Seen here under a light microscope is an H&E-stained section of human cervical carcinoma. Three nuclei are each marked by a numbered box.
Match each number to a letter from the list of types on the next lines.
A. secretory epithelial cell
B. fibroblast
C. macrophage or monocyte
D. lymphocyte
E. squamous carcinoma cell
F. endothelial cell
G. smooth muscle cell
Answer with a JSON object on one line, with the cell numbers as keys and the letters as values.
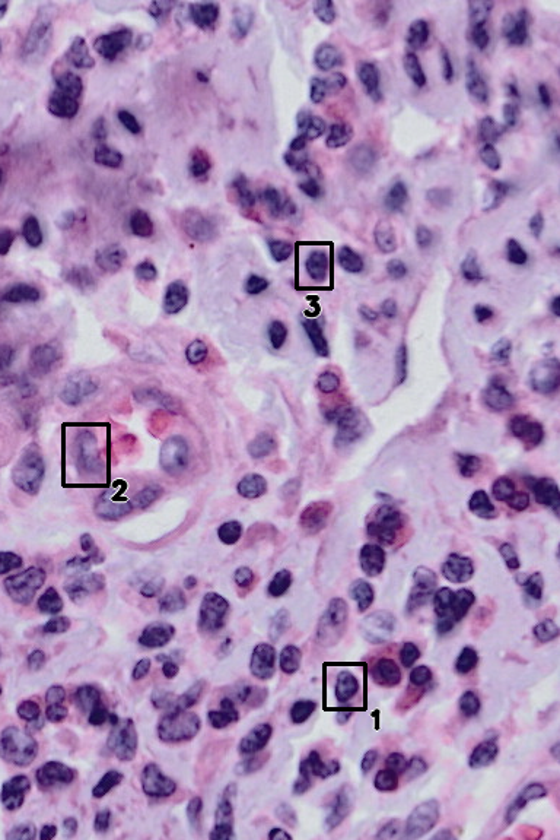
{"1": "D", "2": "F", "3": "D"}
